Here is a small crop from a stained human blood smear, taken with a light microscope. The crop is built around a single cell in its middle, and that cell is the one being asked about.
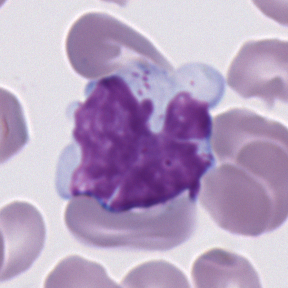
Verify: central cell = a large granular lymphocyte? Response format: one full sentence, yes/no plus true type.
Yes, the centred cell is categorised as a large granular lymphocyte.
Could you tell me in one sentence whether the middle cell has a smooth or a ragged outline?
An irregular outline, ragged or marked by projections, surrounds this cell.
